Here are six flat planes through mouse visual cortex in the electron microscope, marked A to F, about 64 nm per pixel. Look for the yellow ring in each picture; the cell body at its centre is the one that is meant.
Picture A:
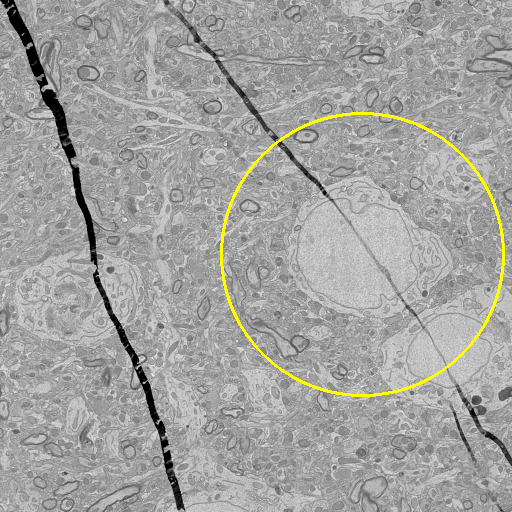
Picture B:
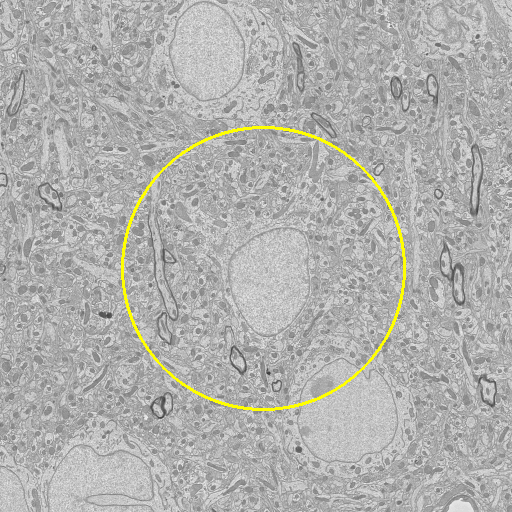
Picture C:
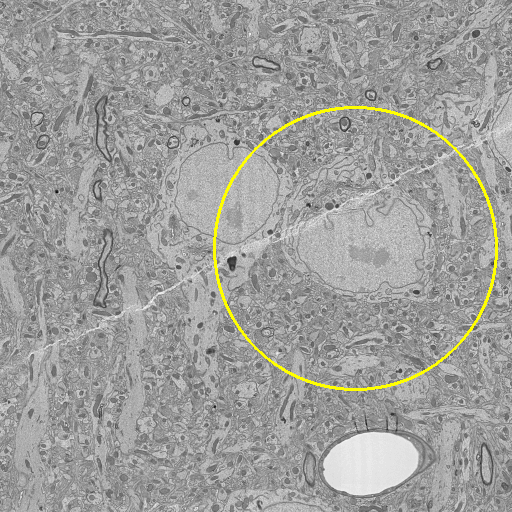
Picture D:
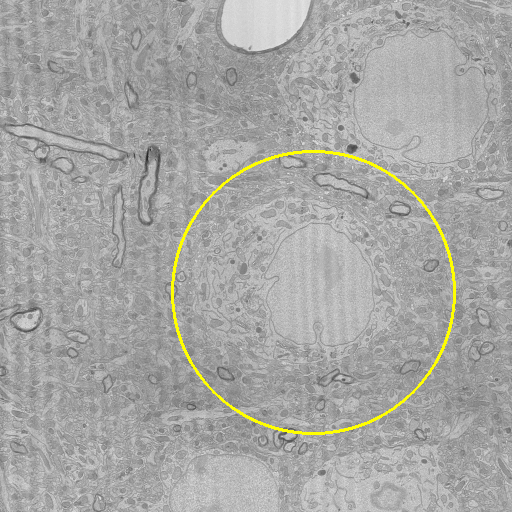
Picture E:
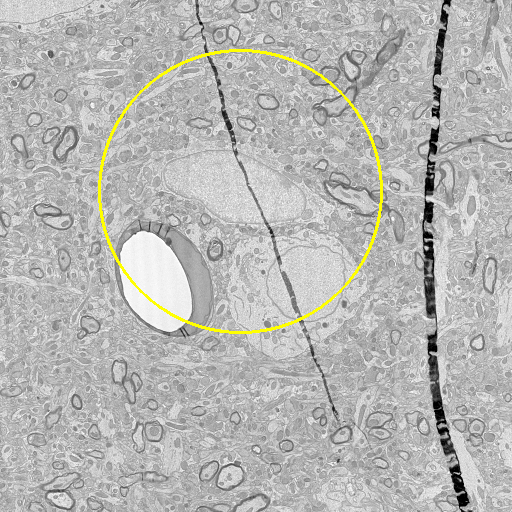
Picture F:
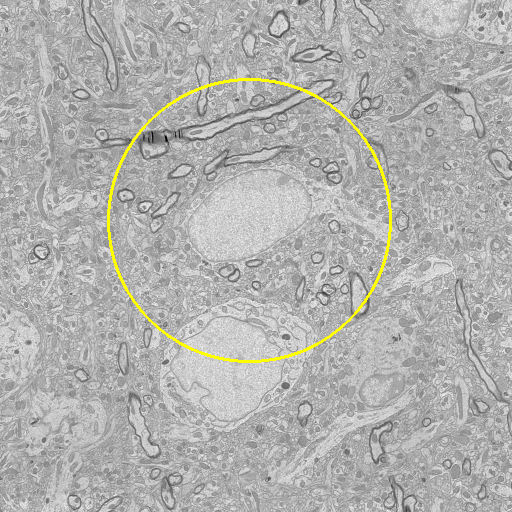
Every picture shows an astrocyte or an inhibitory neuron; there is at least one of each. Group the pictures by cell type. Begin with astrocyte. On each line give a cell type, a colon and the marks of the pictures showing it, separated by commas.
astrocyte: B, E, F
inhibitory neuron: A, C, D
